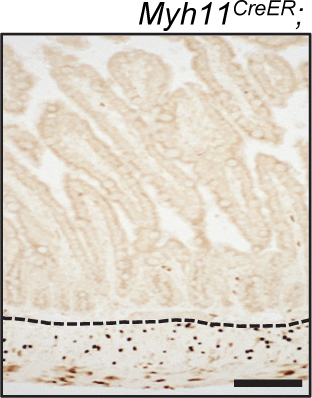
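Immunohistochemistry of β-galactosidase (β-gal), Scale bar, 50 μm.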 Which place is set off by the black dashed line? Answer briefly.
Stroma-smooth muscle boundary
